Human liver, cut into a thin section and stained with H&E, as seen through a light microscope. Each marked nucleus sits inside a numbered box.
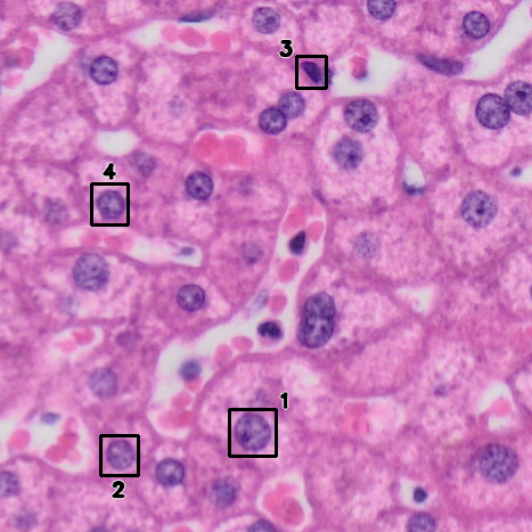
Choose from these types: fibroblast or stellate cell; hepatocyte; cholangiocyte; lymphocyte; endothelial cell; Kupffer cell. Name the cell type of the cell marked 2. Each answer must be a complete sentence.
The cell that is numbered 2 is a hepatocyte.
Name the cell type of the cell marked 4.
Among the marked cells, number 4 is a hepatocyte.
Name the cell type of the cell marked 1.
The nucleus with number 1 is that of a hepatocyte.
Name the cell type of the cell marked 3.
Heads up, the cell numbered 3 is a fibroblast or stellate cell.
